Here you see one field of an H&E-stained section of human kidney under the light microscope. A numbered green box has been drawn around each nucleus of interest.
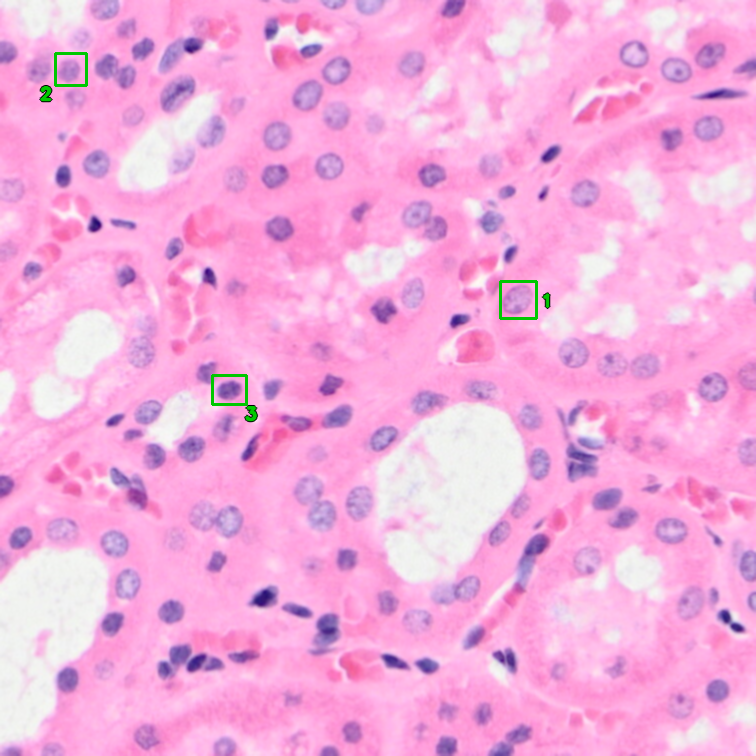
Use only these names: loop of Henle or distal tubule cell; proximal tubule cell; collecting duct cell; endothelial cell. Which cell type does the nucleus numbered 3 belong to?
loop of Henle or distal tubule cell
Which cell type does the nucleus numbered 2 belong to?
loop of Henle or distal tubule cell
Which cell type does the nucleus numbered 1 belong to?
proximal tubule cell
